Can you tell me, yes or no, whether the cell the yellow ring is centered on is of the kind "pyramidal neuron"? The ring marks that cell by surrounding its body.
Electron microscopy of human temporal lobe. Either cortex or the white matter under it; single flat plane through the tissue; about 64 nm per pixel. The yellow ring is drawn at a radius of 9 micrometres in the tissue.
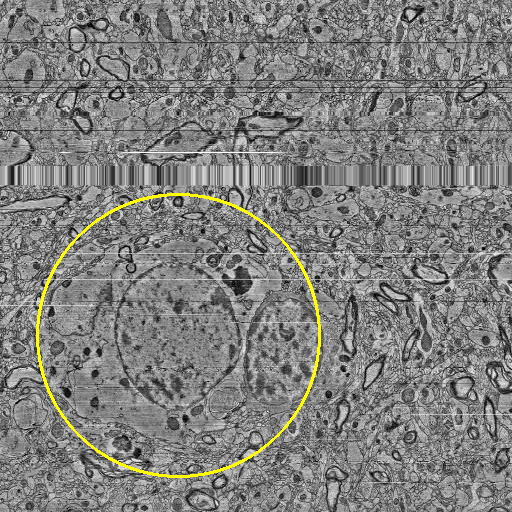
no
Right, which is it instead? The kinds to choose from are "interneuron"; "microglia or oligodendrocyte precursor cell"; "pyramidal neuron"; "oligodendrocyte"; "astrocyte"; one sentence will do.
What the ring encloses here is an astrocyte.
